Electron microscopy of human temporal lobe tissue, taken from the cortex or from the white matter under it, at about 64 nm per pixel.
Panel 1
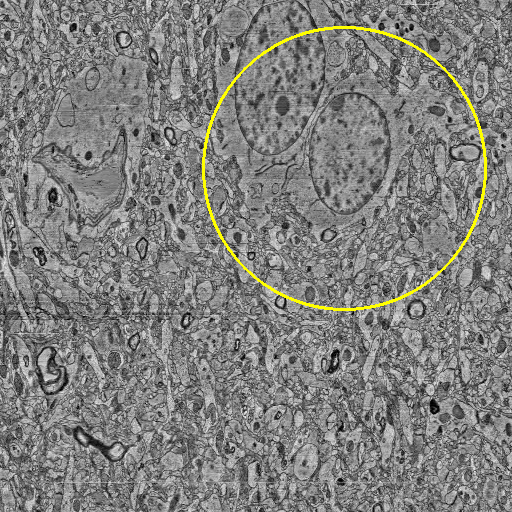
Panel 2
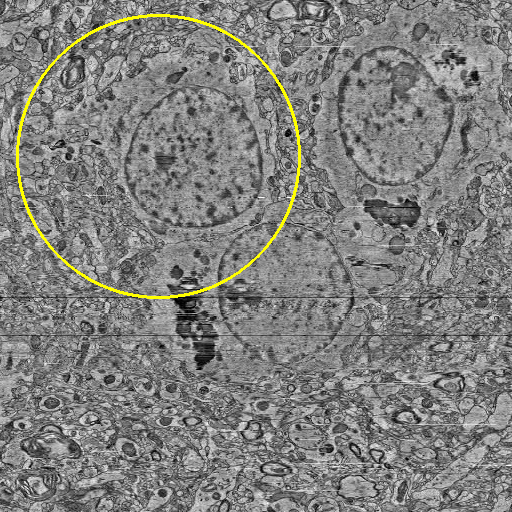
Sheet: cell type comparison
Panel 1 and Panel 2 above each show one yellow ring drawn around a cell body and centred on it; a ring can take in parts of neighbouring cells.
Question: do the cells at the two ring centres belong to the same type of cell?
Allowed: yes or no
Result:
yes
